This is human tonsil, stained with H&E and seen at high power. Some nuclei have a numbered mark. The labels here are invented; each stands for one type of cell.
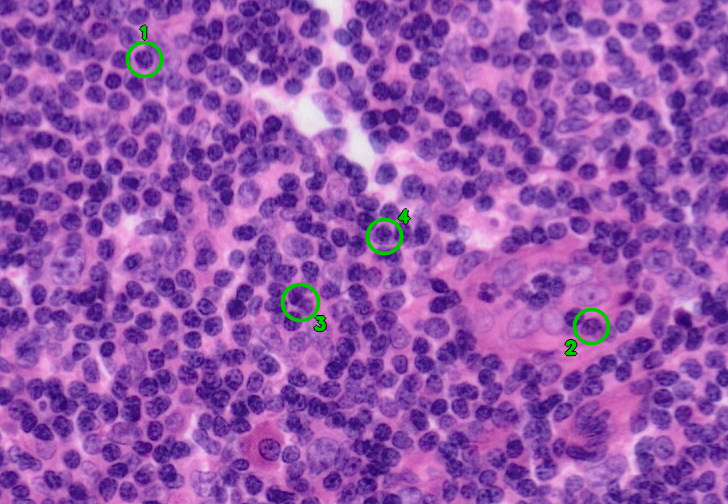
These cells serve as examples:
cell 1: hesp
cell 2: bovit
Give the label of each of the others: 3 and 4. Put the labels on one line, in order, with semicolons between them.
hesp; hesp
